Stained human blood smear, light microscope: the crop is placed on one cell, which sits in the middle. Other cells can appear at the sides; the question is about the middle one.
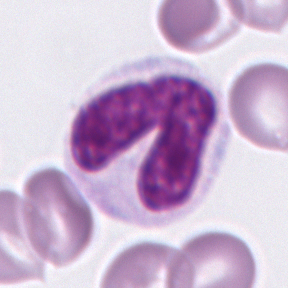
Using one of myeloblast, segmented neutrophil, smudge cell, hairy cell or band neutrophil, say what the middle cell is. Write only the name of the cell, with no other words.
band neutrophil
